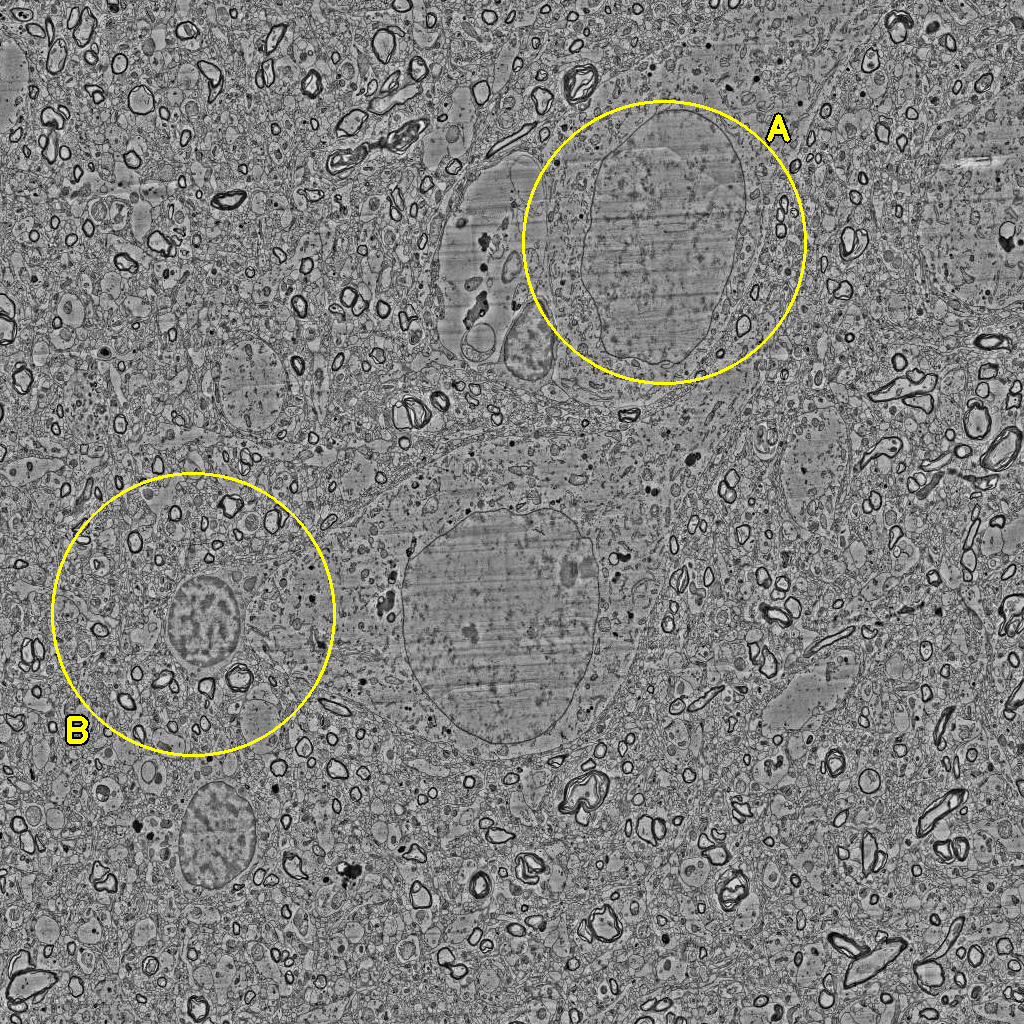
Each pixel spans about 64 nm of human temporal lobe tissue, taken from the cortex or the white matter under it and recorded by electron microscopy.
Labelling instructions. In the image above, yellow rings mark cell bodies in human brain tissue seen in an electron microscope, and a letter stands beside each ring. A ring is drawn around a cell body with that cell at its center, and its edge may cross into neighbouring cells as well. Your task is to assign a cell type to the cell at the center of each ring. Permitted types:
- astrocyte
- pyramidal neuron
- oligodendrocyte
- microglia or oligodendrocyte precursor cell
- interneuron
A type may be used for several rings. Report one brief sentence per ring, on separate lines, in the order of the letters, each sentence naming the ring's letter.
The cell at the center of ring A is a pyramidal neuron.
The cell at the center of ring B is an oligodendrocyte.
